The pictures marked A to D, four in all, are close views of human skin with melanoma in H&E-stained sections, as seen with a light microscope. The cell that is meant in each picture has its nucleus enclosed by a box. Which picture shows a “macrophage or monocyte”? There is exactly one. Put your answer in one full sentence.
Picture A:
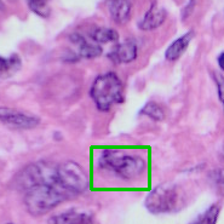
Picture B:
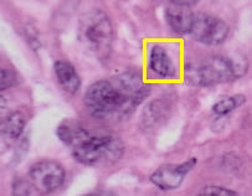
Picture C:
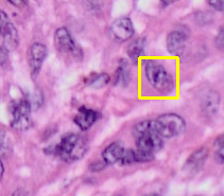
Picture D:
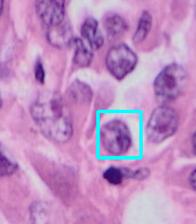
The cell in picture B is the “macrophage or monocyte”.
